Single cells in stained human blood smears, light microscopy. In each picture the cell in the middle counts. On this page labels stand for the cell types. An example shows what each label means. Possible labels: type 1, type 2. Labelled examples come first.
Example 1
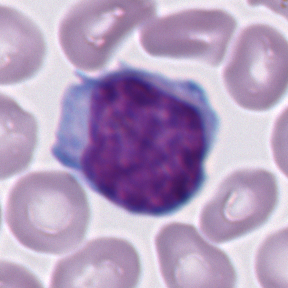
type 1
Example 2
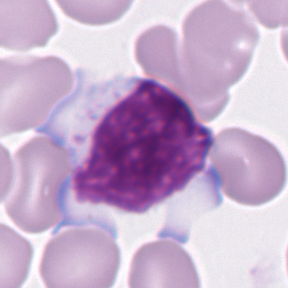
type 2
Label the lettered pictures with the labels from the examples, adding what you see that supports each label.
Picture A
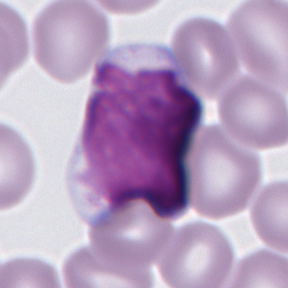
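type 2. Reason: The cytoplasm is very pale, almost colourless.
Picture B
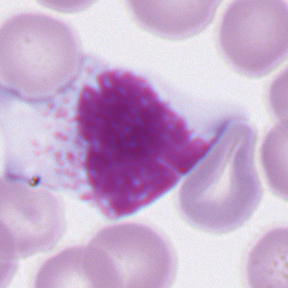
type 2. Reason: The cytoplasm is very pale, almost colourless.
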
